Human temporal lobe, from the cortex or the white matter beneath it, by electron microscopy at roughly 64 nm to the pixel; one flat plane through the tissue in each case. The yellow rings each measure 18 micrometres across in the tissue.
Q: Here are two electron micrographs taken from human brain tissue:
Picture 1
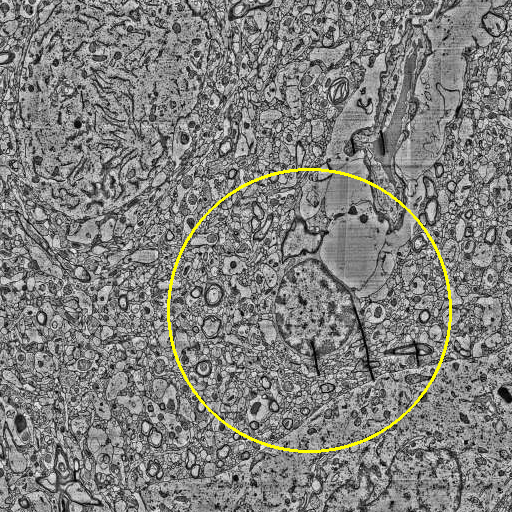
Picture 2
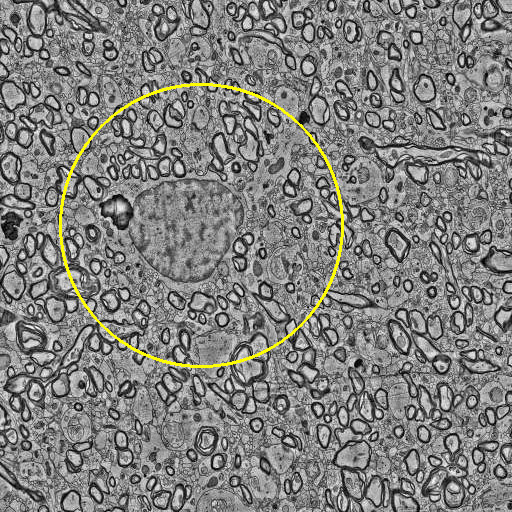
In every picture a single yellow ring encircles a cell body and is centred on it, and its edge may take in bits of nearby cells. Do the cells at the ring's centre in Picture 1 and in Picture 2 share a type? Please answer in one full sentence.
Yes, the cells at the ring's centre in Picture 1 and Picture 2 share a type.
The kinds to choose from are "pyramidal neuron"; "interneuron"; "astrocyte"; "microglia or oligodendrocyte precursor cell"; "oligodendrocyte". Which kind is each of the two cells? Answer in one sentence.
Each cell, in the first picture and the second, is an oligodendrocyte.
